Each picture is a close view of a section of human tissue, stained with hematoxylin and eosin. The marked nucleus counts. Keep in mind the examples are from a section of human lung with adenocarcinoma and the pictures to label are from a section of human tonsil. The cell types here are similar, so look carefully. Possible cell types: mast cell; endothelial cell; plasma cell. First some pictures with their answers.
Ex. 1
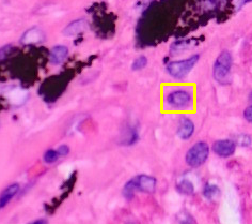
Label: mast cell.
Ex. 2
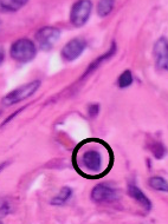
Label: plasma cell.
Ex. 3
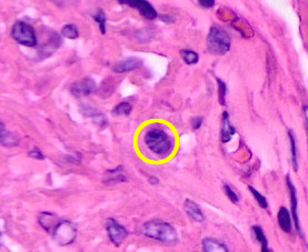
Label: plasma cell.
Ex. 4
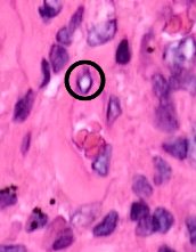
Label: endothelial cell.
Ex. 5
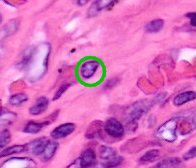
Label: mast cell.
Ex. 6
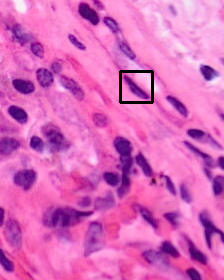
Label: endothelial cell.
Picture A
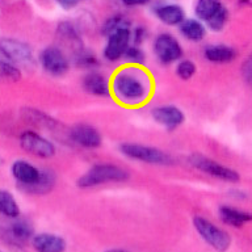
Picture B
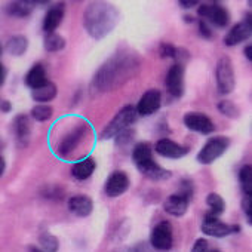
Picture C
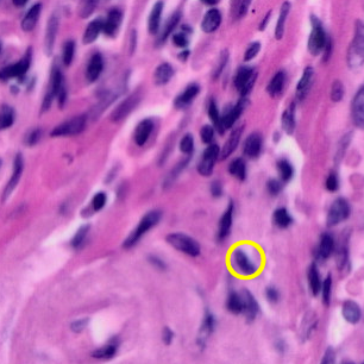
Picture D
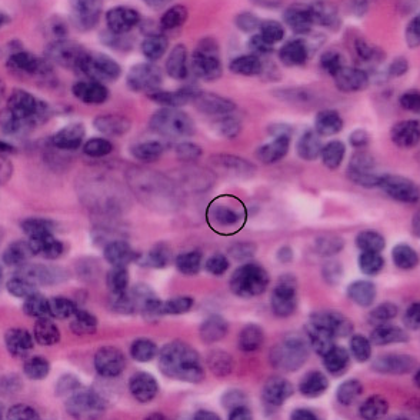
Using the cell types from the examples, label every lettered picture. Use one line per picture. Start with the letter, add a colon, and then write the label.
A: mast cell.
B: endothelial cell.
C: mast cell.
D: endothelial cell.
